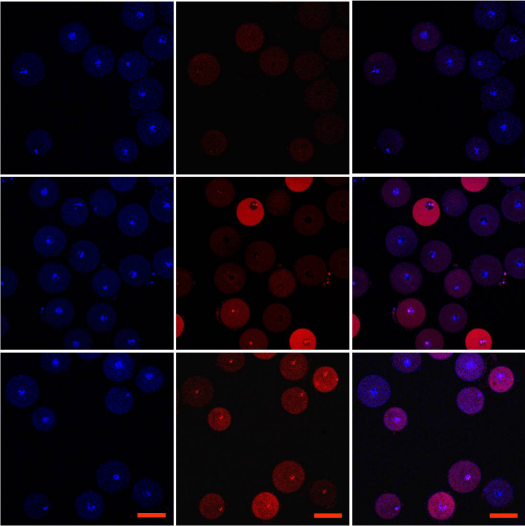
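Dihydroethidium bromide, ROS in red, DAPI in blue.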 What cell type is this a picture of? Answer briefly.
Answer: Oocytes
